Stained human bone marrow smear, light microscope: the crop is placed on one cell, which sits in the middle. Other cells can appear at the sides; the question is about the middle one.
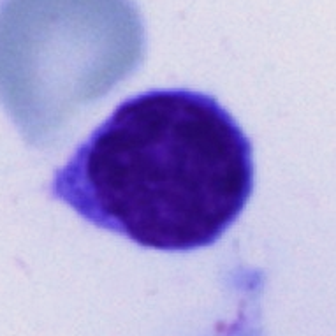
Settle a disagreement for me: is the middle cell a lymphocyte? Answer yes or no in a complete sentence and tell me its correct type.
Yes, the cell placed centrally within the crop is a lymphocyte.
